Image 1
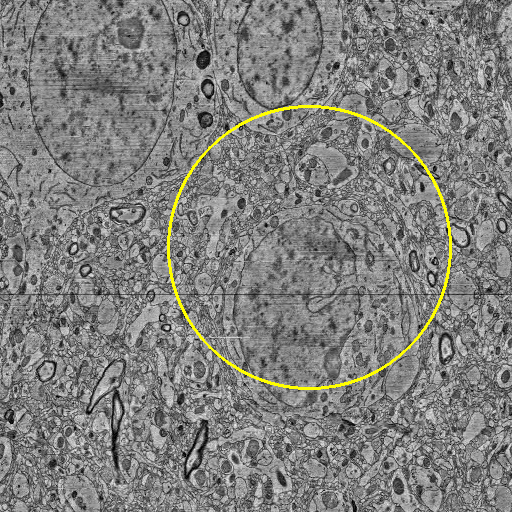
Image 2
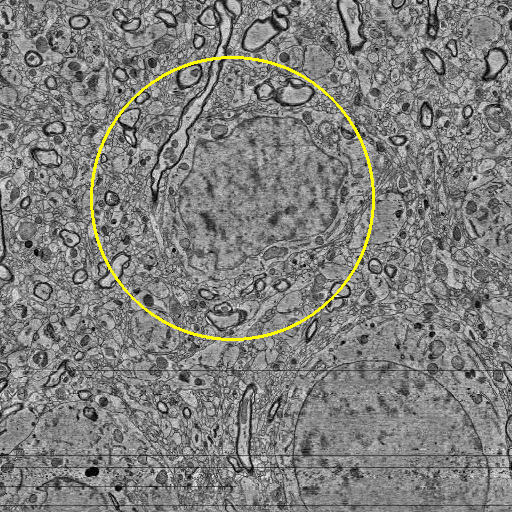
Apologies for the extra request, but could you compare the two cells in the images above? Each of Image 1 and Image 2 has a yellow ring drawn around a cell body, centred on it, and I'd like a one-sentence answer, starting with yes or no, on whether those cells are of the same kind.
Yes, both cells are of the same kind.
